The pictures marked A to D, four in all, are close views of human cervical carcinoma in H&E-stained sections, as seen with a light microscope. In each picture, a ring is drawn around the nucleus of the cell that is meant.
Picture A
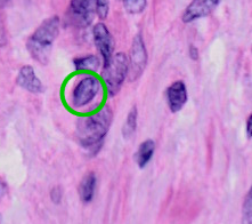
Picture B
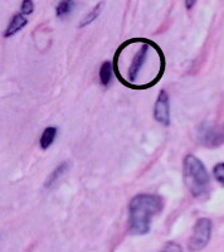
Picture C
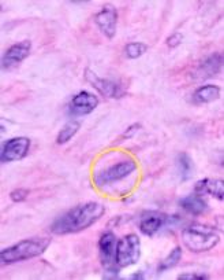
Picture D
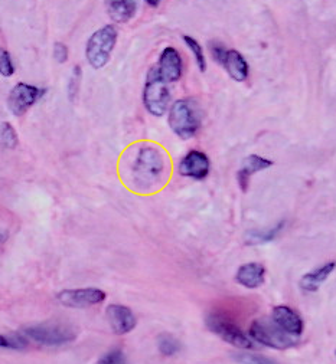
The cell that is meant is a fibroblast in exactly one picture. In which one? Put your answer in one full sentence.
The cell in picture B is the fibroblast.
